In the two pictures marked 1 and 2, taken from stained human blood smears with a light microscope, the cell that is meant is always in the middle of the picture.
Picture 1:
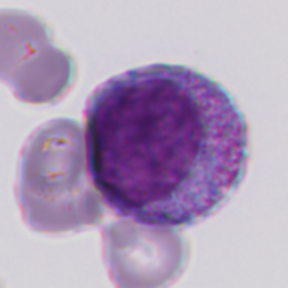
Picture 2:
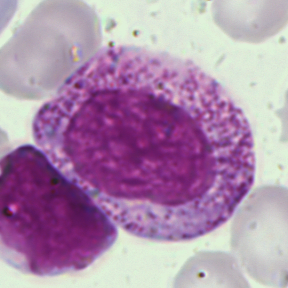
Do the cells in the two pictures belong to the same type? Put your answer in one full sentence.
Yes; the cells in both pictures are myelocytes.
